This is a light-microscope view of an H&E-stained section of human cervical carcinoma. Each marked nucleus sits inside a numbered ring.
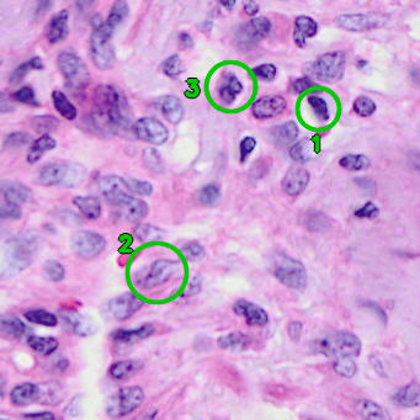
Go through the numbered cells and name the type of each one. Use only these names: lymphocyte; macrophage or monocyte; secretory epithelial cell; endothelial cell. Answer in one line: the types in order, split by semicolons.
lymphocyte; endothelial cell; lymphocyte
